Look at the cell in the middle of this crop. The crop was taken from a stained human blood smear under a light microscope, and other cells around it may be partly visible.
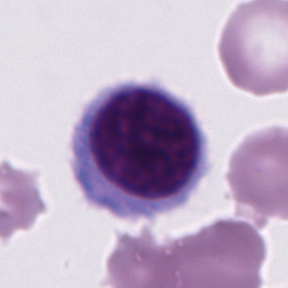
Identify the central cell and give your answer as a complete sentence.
Here the centrally located cell is a hairy cell.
